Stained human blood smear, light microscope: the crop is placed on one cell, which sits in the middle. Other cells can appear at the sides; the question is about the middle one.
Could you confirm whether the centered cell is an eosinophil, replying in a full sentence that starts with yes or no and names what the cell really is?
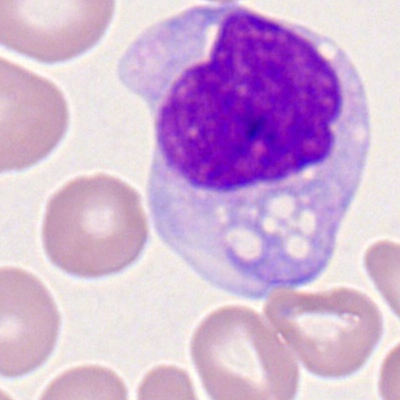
No, the middle cell is classified as a monocyte and not as an eosinophil.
